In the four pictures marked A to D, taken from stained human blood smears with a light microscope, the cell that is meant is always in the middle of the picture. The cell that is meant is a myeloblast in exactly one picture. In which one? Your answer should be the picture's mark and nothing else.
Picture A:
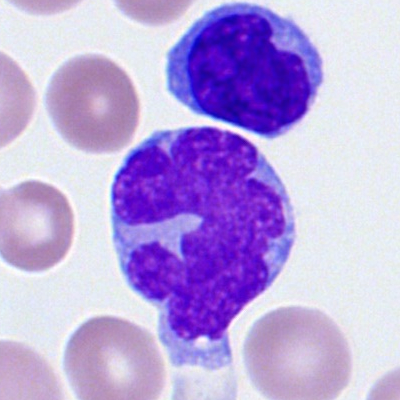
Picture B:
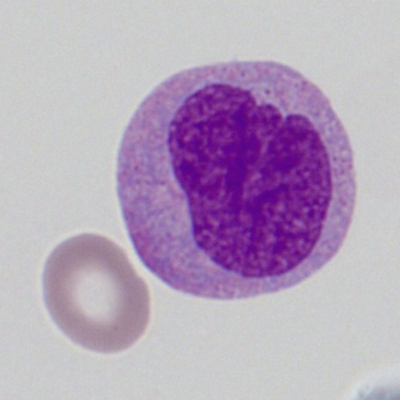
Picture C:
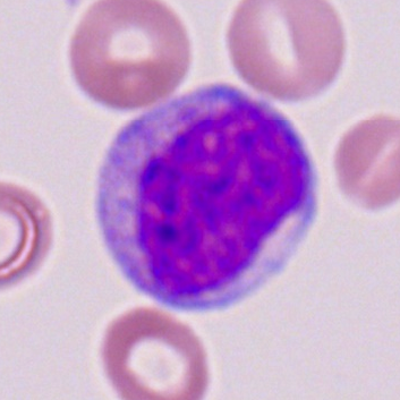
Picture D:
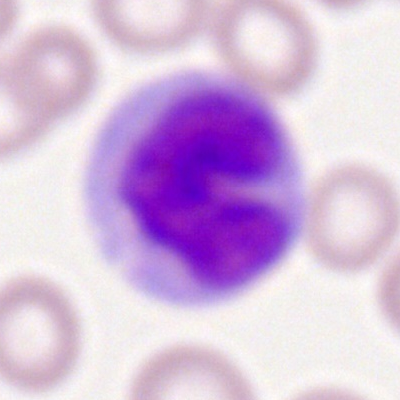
B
